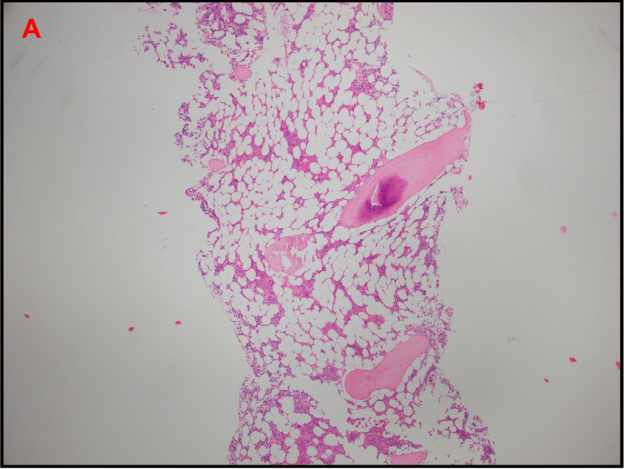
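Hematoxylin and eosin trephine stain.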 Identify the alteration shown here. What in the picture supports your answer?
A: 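Hypocellular marrow. Fat spaces take up most of the marrow between the bony trabeculae. Haematopoietic tissue forms only thin strands and small patches among the fat.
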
